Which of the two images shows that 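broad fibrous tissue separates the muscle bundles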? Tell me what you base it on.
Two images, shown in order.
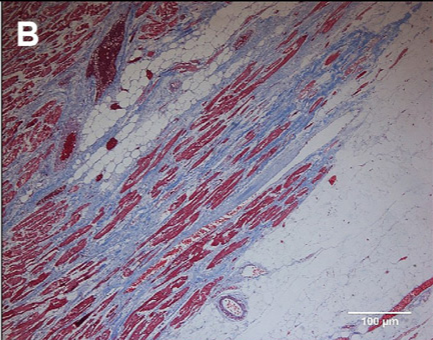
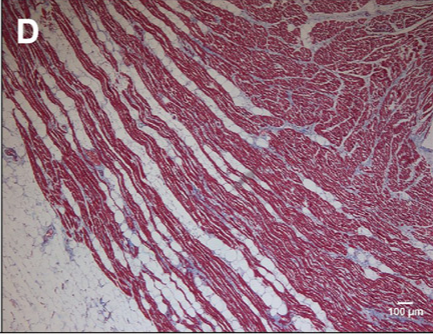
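Second image: red muscle fibers lie close together with little blue-staining tissue between them. First image: wide streaks of blue-staining fibrous tissue run between thinned muscle bundles and fat. So: the first image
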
